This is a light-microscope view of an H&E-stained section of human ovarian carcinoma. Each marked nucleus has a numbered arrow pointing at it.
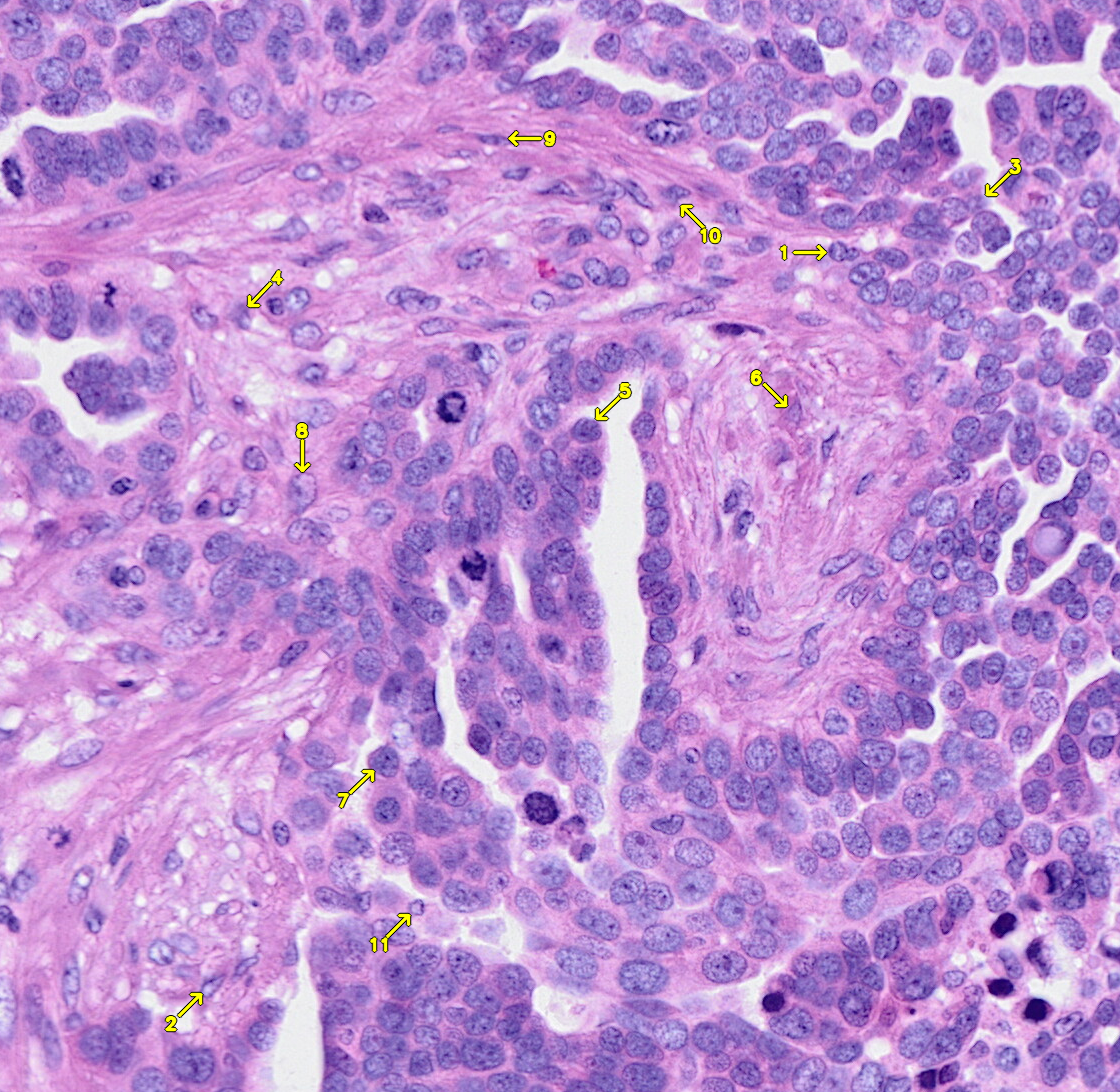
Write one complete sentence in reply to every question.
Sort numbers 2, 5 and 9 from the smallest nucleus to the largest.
Smallest first, the nuclei run 9, 2, 5.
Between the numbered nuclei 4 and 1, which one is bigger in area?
The larger nucleus is 4, at roughly 1.5 times the area of 1.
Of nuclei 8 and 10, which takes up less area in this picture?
Nucleus 10 covers less area, with nucleus 8 about 2 times as large.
